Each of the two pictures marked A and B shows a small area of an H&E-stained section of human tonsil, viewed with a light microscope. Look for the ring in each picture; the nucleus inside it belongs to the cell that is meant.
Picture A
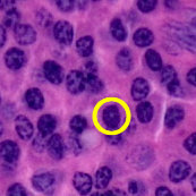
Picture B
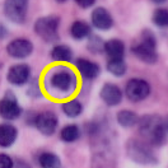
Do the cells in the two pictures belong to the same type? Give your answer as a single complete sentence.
No, they differ: the cell is a plasma cell in picture A and a small lymphocyte in picture B.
